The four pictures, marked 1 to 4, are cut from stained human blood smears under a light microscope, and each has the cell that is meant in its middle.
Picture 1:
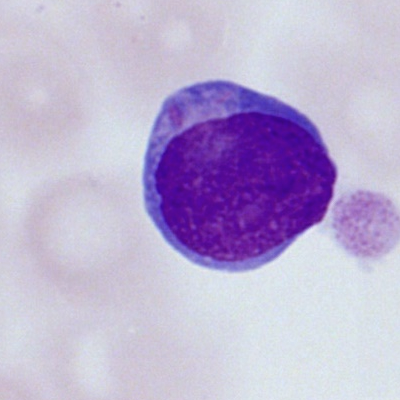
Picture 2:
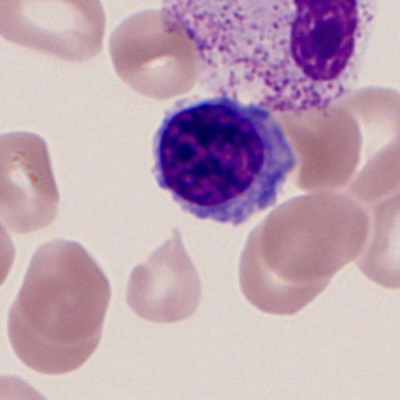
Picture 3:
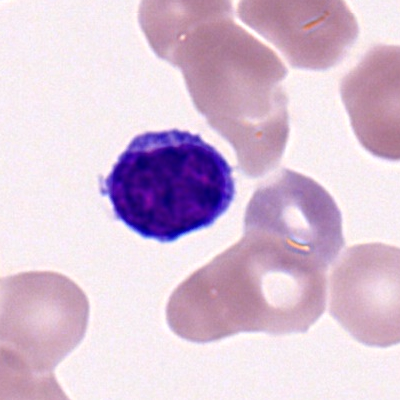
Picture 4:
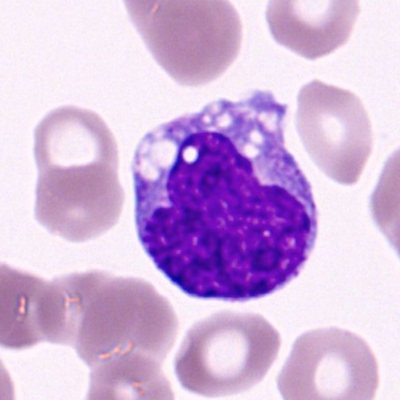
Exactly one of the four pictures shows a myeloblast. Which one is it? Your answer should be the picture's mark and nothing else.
1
